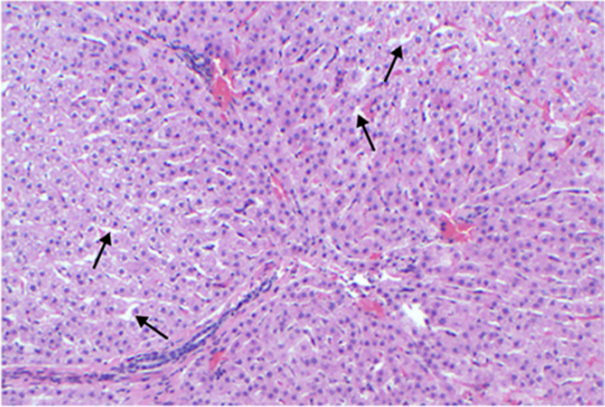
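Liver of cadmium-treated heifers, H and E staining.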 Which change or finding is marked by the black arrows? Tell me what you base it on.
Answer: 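The arrows point to clear white clefts between plates of pink hepatocytes. The answer: expanded hepatic sinusoids.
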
